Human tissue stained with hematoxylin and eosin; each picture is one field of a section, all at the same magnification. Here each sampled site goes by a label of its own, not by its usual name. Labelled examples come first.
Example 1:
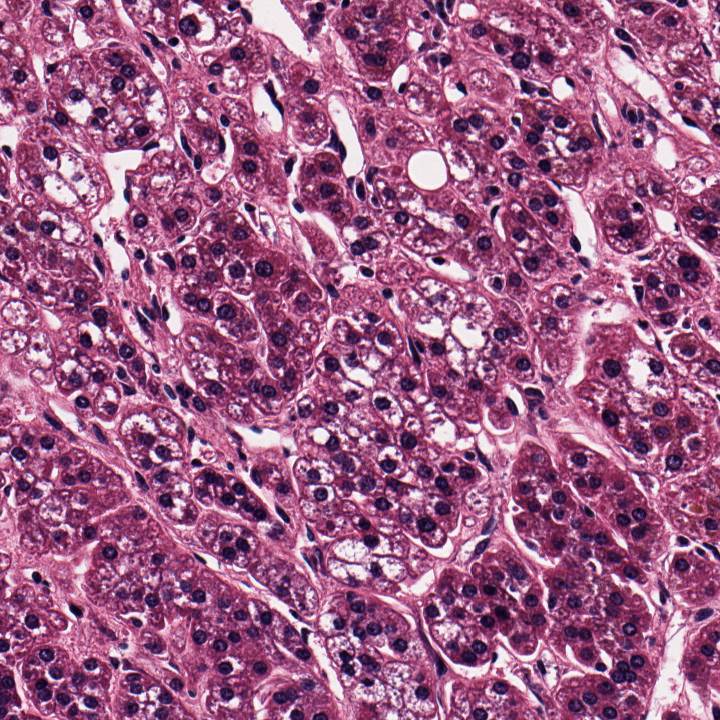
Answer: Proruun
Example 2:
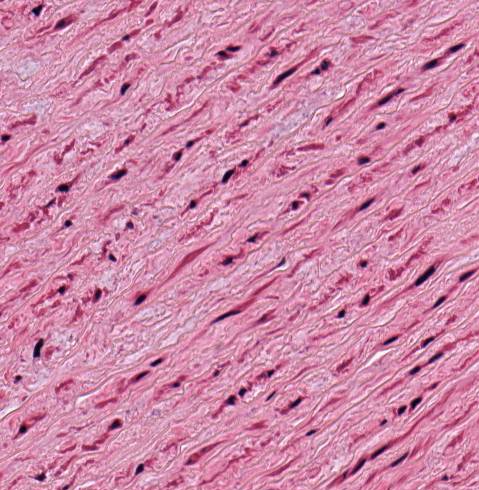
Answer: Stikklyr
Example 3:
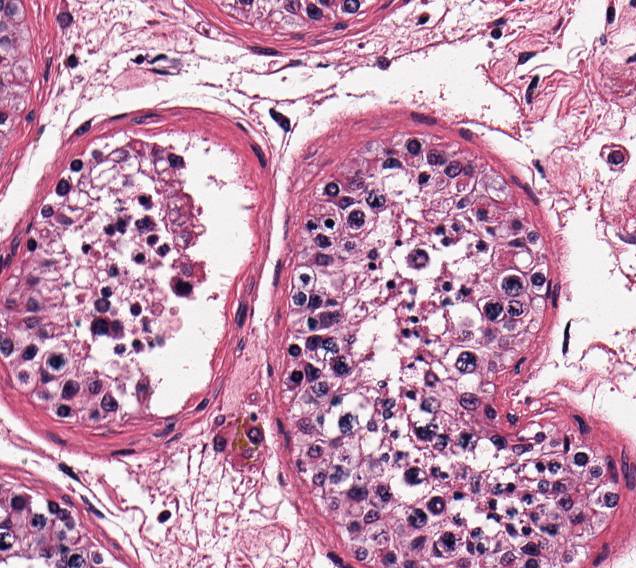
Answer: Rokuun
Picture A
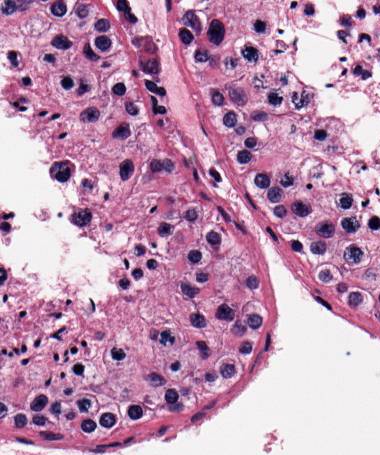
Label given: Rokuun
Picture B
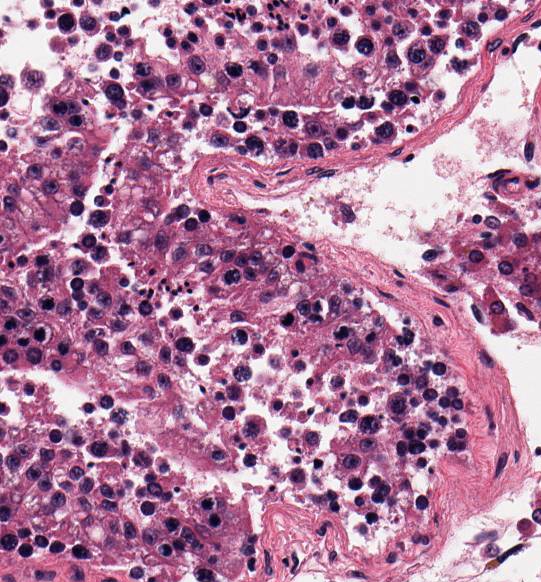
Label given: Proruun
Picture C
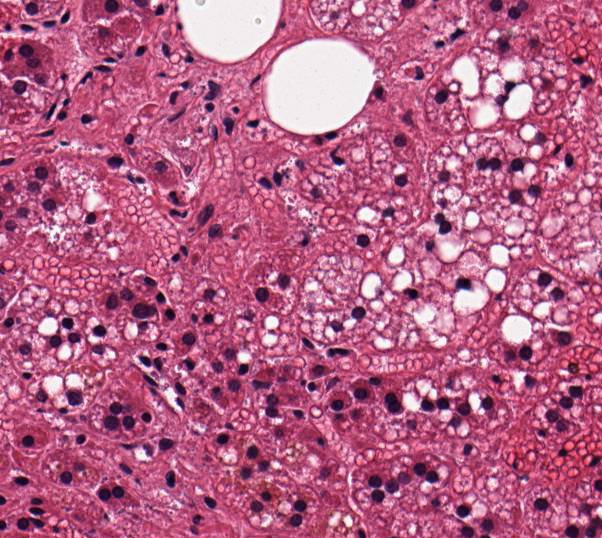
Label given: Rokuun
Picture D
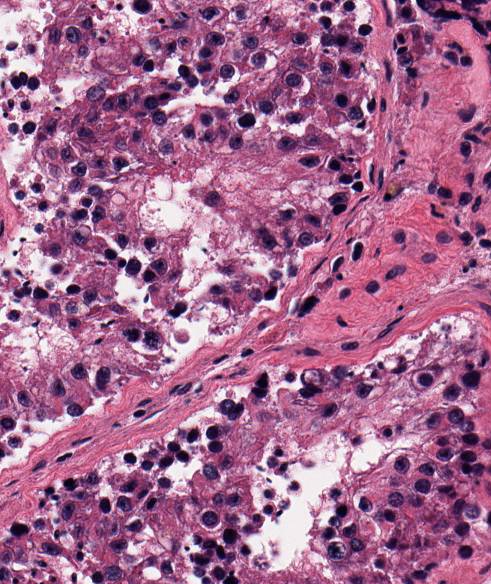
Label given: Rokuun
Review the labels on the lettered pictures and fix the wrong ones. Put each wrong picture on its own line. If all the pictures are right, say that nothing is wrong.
B should be Rokuun, not Proruun
C should be Proruun, not Rokuun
